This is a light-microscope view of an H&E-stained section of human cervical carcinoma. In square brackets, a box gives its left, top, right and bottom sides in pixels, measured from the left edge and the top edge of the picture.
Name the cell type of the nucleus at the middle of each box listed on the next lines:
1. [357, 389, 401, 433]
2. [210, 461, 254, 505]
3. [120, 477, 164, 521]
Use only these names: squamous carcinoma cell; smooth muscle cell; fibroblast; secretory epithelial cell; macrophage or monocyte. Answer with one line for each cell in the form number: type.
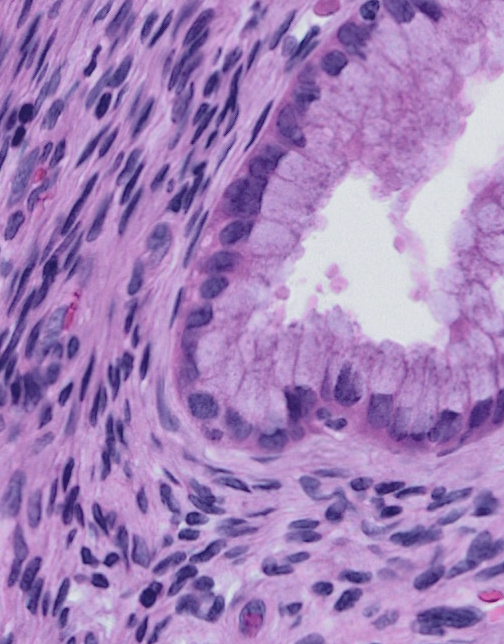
1: secretory epithelial cell
2: fibroblast
3: fibroblast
